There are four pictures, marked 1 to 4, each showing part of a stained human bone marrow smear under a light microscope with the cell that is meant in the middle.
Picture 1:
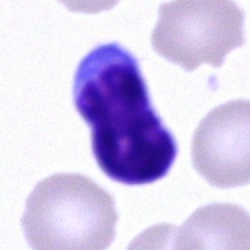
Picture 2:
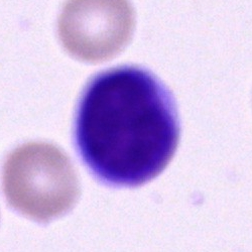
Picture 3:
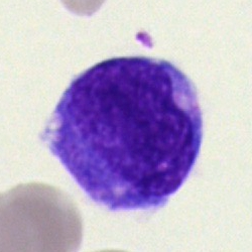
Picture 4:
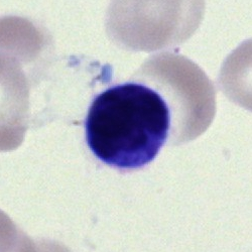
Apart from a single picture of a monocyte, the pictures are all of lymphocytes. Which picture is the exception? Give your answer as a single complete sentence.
The monocyte is the one in picture 3.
